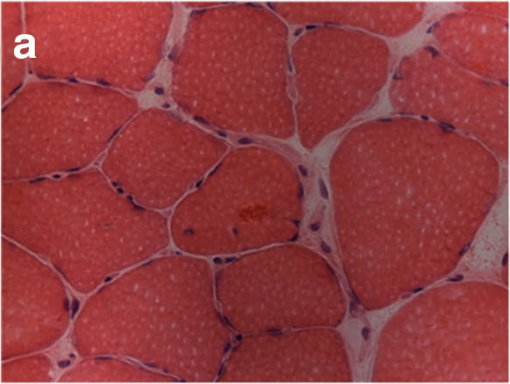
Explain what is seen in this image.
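Skeletal muscle in cross-section, showing muscle fibers of varied size with rounded polygonal outlines, packed closely together. Their cytoplasm stains evenly pink-red and is sprinkled with many tiny pale dots. Dark purple, flattened nuclei sit at the edges of the fibers, beneath their surface, not in their centres. Between the fibers runs a thin pale pink-grey connective tissue, somewhat wider where several fibers meet. One fiber near the middle holds a small, ill-defined reddish-brown deposit within its cytoplasm, unlike the uniform staining of its neighbours.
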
